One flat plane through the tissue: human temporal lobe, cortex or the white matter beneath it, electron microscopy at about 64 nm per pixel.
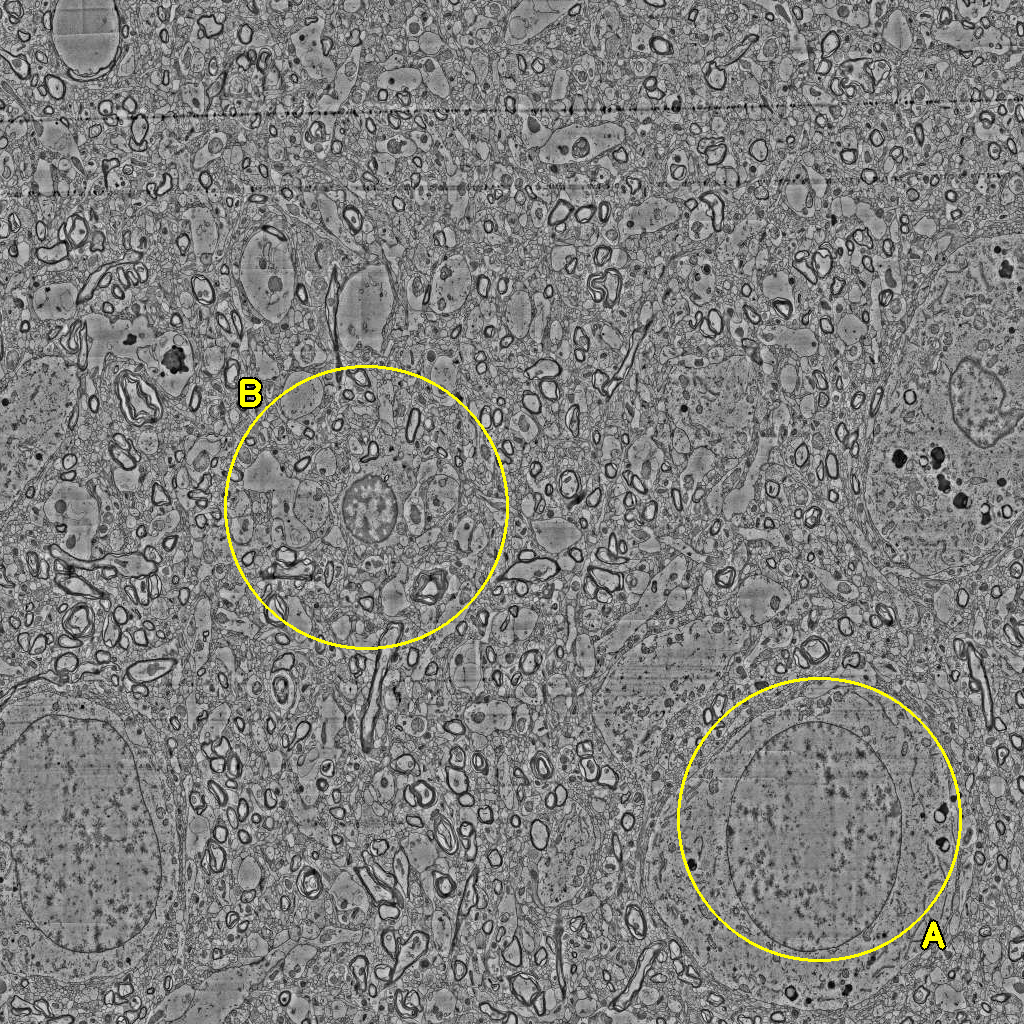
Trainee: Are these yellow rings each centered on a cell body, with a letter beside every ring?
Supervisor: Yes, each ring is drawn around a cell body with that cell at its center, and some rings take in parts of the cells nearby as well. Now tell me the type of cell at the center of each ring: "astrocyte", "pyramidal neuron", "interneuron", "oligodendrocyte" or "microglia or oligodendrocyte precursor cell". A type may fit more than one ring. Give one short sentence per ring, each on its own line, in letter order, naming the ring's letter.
Ring A has a pyramidal neuron at its center.
Ring B has an oligodendrocyte at its center.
